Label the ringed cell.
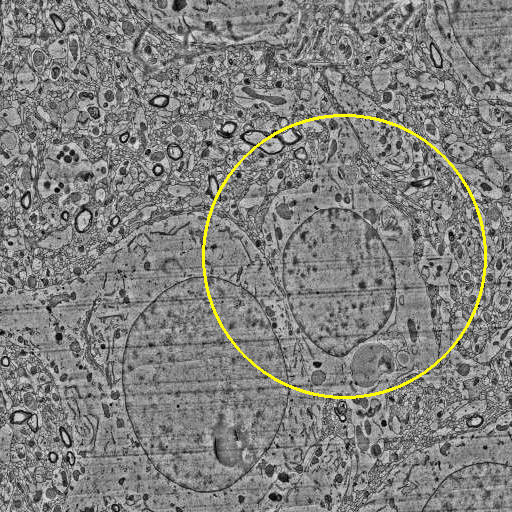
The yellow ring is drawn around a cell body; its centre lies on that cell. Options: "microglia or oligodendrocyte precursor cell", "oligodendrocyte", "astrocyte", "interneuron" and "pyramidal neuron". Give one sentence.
The ringed cell is an astrocyte.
